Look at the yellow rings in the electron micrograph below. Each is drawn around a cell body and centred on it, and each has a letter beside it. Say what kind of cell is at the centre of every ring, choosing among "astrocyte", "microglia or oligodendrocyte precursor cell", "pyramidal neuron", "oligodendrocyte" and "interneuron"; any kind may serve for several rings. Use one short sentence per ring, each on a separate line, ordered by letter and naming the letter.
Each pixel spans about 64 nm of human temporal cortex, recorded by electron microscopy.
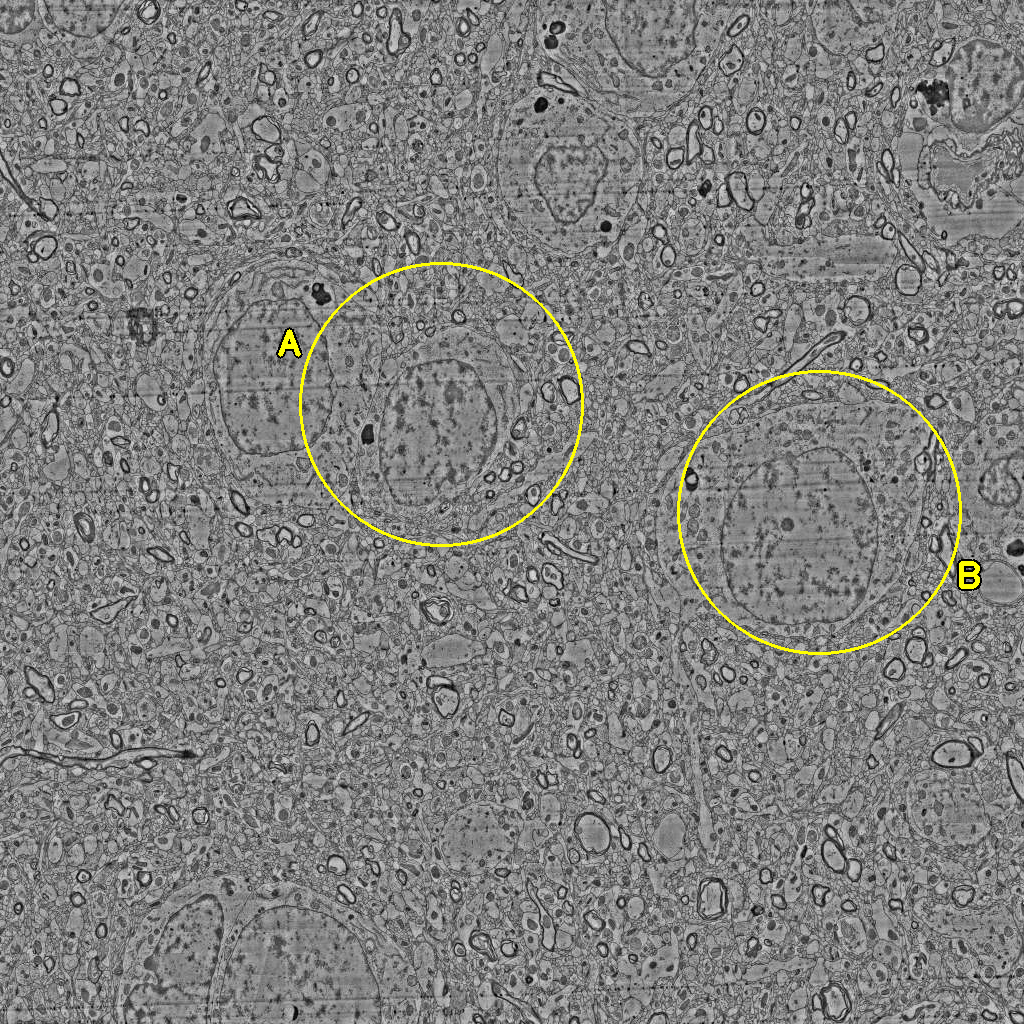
Ring A encircles an interneuron.
Ring B encircles a pyramidal neuron.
